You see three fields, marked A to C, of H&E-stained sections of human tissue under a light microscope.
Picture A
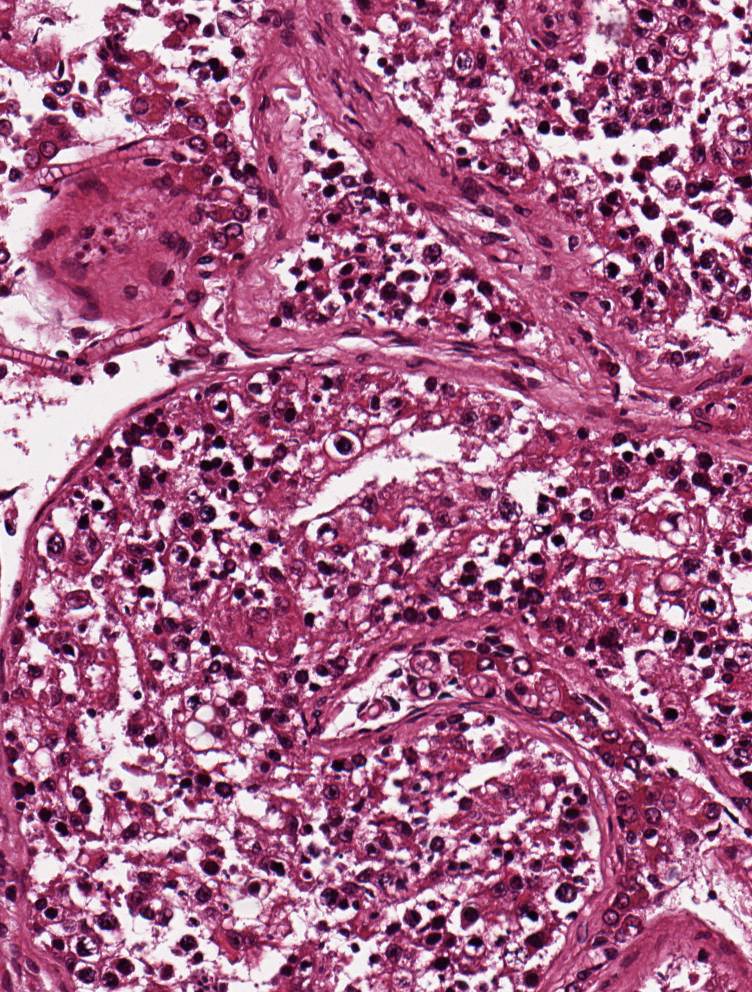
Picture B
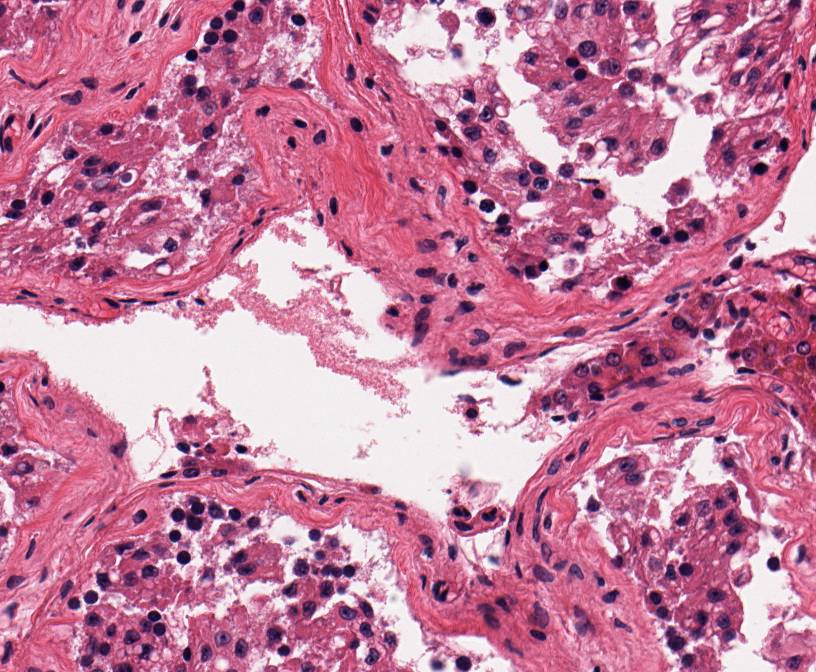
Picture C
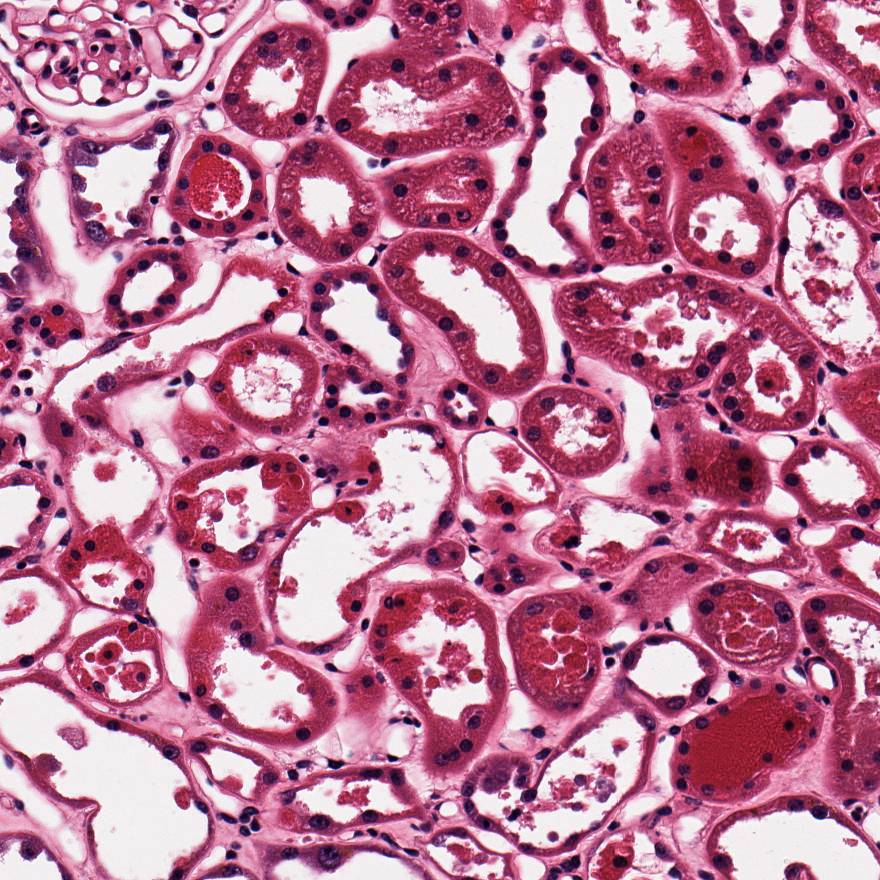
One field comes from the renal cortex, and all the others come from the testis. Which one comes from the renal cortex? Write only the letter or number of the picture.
C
